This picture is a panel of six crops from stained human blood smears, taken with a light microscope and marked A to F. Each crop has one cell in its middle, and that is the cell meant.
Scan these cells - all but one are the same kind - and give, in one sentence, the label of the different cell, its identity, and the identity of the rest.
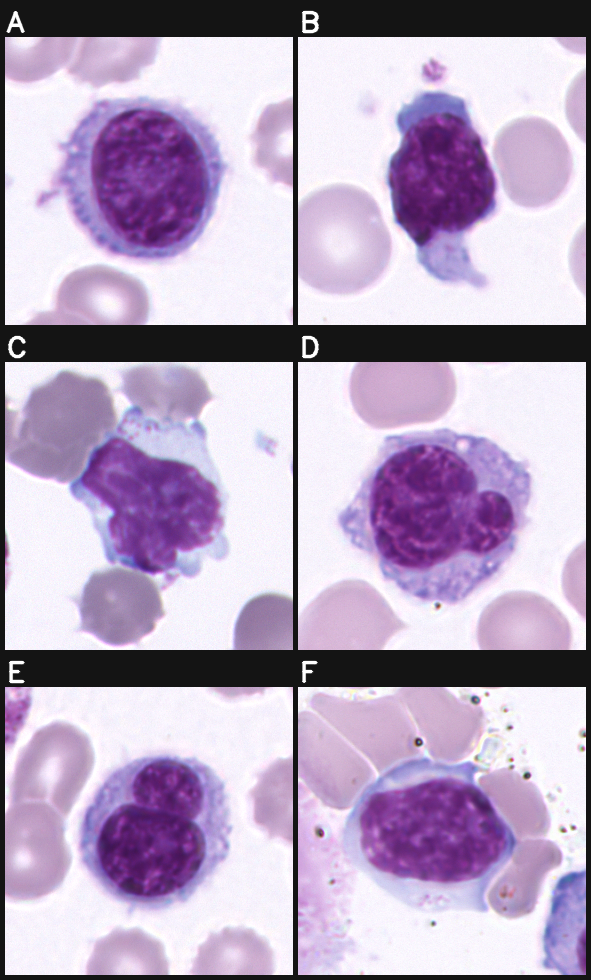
Of the crops, all show plasma cells save crop C, which shows a large granular lymphocyte.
